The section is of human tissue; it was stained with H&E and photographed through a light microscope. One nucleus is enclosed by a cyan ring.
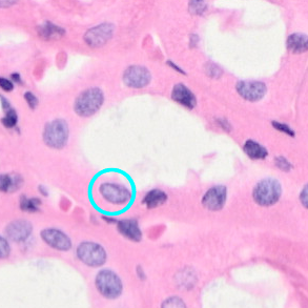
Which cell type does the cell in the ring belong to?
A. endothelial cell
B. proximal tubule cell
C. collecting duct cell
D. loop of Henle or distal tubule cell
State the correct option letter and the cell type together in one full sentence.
It is correct to say that the cell in the ring is a loop of Henle or distal tubule cell, as option D does.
